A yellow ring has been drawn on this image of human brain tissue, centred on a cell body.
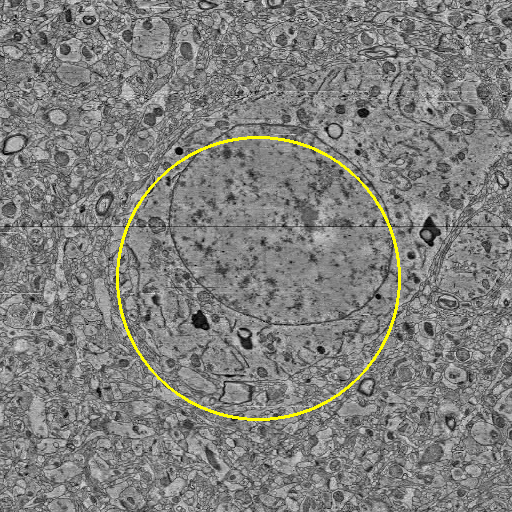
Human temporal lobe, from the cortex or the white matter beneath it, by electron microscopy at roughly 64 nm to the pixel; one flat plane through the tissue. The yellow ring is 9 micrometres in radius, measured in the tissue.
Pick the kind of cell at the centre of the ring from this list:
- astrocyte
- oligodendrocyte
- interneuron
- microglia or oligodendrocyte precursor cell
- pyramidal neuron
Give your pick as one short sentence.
The centre of the ring holds a pyramidal neuron.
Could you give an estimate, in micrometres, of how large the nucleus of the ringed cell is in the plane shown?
About 15 micrometres by about 13 micrometres in this plane.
